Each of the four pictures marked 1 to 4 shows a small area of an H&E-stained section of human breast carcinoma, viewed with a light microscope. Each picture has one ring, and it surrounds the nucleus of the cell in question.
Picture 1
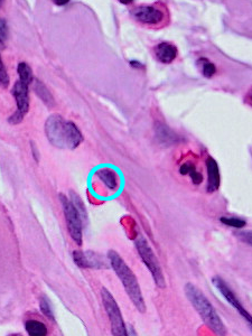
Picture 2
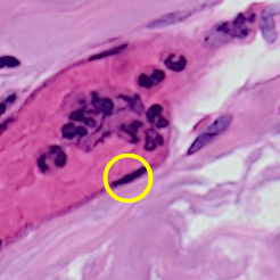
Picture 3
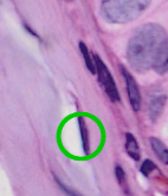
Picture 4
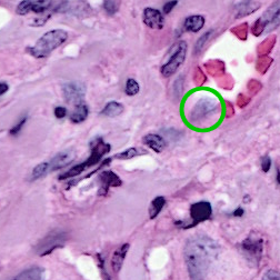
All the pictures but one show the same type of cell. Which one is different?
3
